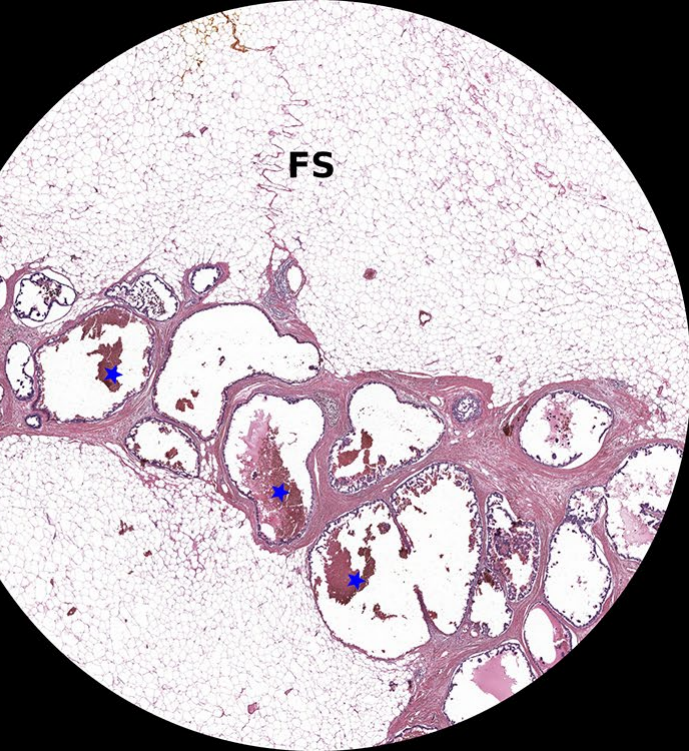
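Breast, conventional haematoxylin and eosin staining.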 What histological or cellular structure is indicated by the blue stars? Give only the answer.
packed red blood cells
